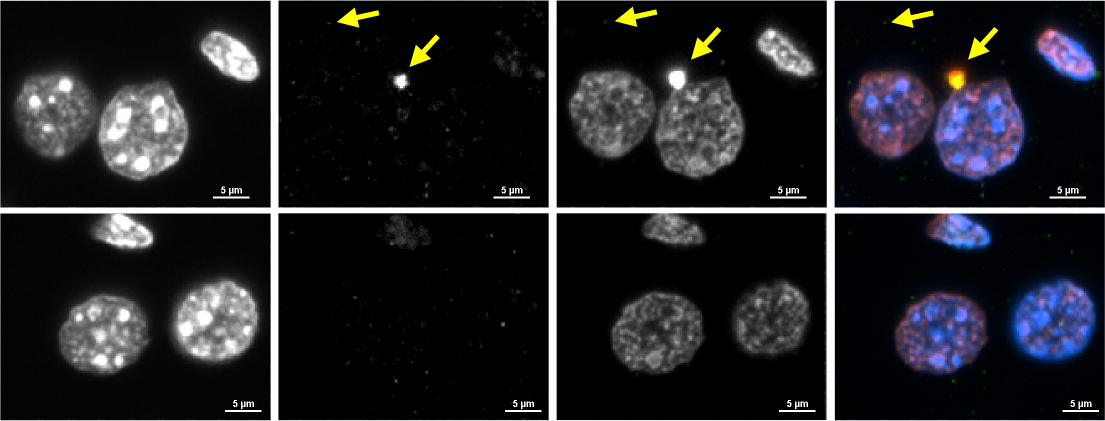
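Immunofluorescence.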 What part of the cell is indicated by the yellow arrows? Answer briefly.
Cytoplasmic chromatin fragments.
